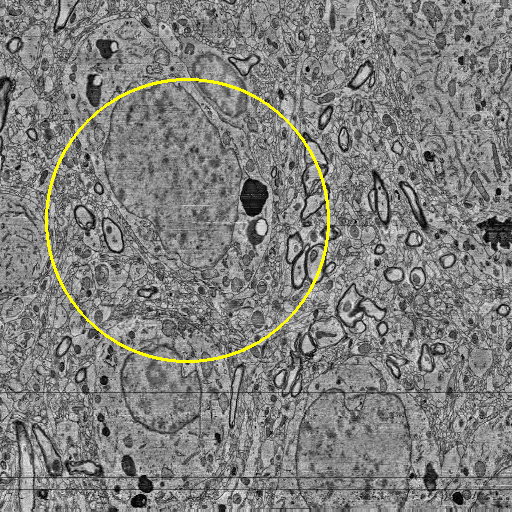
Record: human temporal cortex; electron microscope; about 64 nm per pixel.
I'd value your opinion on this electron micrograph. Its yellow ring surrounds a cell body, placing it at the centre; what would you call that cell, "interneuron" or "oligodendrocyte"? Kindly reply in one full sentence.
It is an interneuron that sits centred within the yellow ring in this micrograph.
